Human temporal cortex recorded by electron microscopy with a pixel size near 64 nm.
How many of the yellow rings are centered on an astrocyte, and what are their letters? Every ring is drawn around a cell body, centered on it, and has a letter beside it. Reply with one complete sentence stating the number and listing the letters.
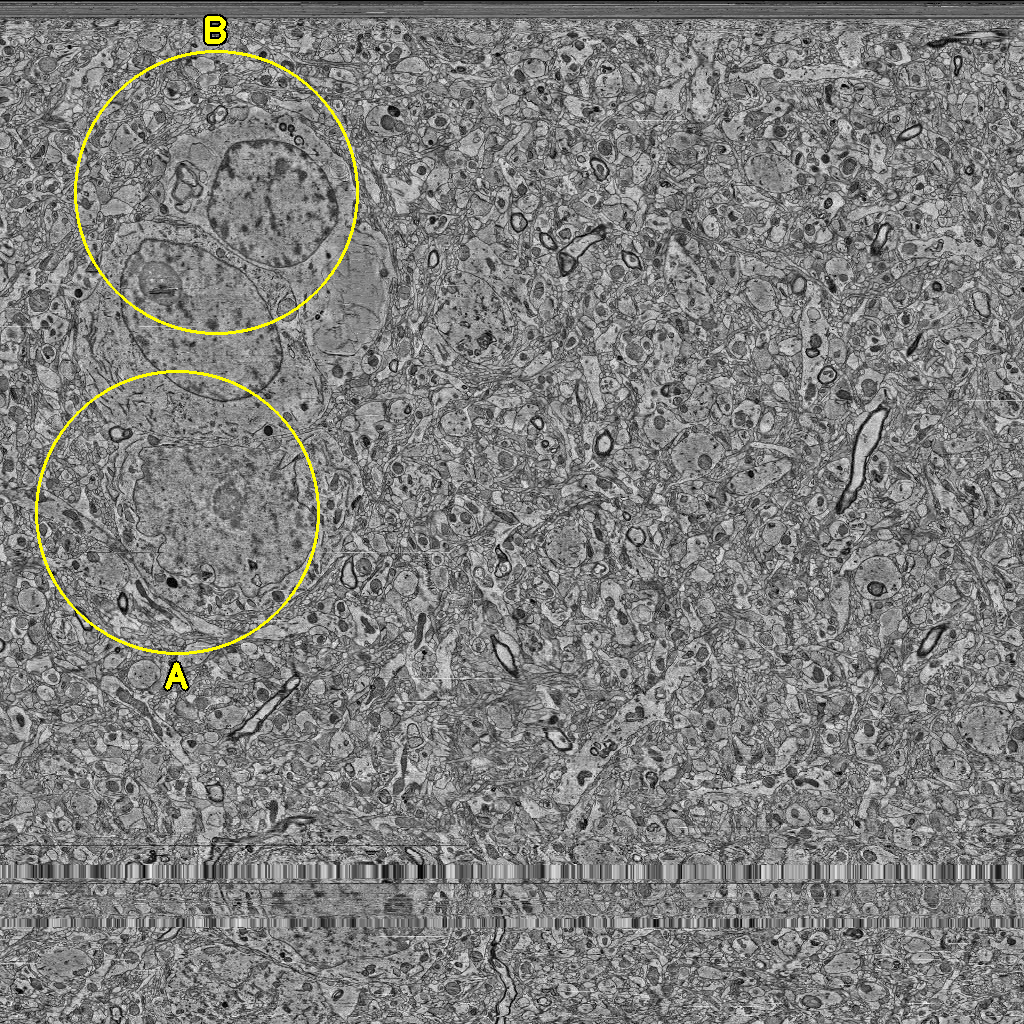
Just one ring is centred on an astrocyte, and the letter next to that ring is B.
